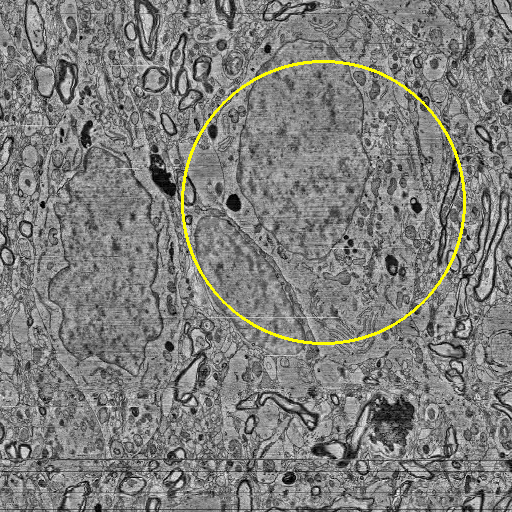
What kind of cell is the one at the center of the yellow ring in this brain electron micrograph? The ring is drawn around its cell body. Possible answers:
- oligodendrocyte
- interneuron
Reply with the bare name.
interneuron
